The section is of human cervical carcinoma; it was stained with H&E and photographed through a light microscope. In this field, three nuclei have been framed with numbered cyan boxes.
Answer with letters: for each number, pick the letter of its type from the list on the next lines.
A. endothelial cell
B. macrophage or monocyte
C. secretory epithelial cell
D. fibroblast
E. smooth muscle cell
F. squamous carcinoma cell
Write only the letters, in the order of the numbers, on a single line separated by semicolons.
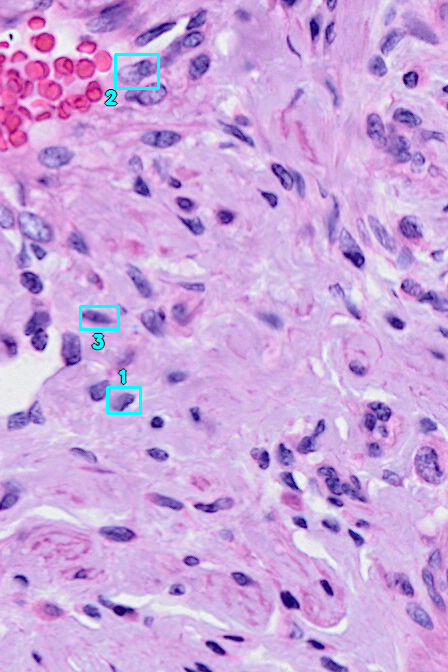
D; A; D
